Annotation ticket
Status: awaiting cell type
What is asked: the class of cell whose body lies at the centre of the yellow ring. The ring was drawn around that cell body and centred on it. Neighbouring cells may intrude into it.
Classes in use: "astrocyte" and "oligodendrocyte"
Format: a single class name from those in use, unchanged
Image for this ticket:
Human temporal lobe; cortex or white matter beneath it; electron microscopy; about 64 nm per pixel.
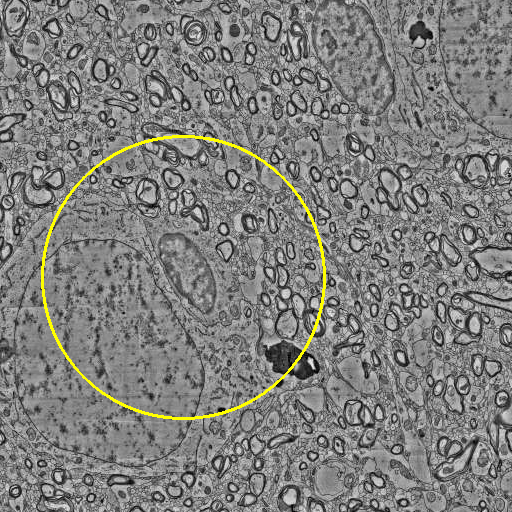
oligodendrocyte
